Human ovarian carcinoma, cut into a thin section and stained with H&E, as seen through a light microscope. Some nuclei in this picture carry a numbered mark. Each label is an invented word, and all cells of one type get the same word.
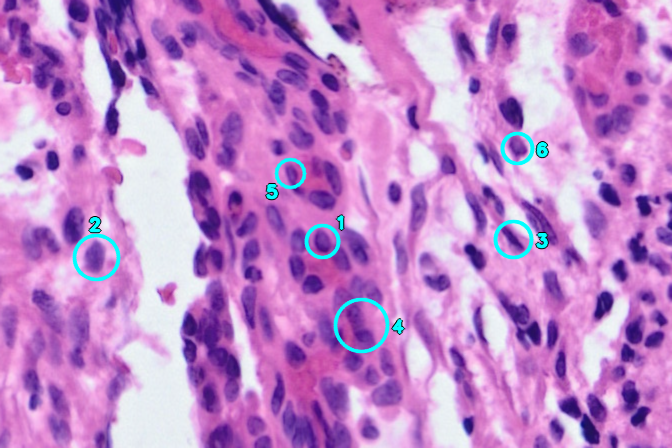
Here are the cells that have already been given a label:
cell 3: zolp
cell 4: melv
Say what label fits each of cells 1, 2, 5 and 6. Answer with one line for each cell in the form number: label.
1: melv
2: zolp
5: melv
6: zolp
